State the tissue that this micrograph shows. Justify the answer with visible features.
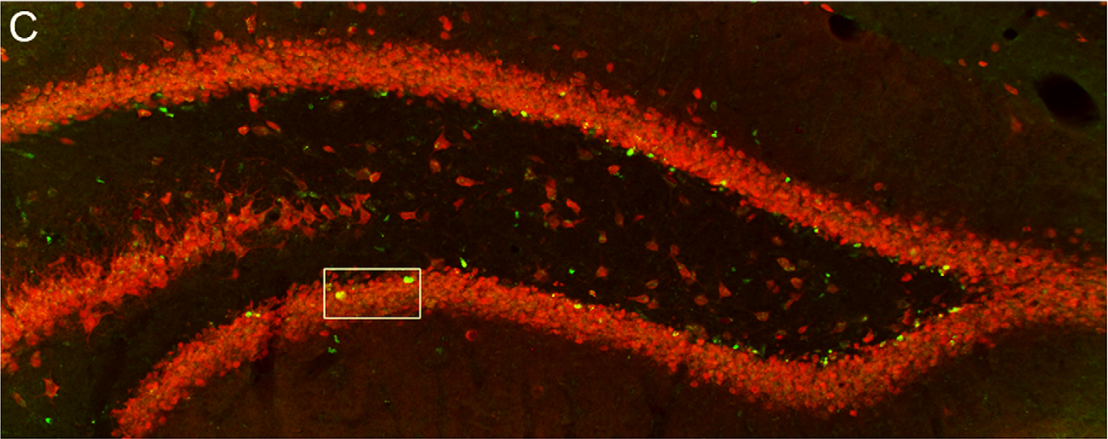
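Dentate gyrus. The bands are joined on the right, forming a V-shaped layer. Scattered larger red cells lie in the space between the two bands.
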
